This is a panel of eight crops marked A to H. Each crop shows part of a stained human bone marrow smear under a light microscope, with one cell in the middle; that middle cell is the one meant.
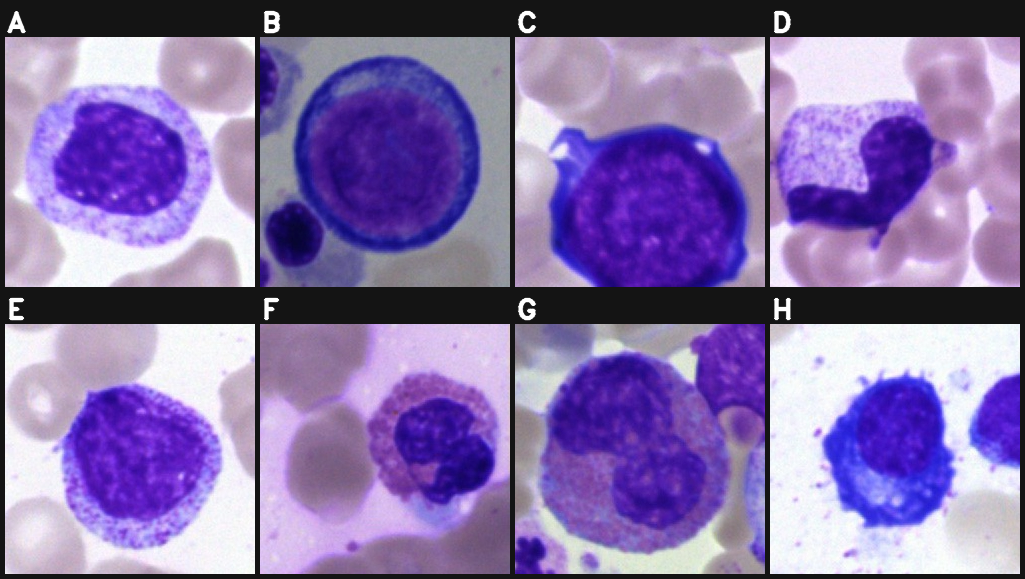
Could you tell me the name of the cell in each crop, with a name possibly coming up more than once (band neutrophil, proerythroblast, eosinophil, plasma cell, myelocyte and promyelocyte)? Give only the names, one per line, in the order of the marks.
myelocyte
proerythroblast
proerythroblast
band neutrophil
myelocyte
eosinophil
eosinophil
plasma cell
